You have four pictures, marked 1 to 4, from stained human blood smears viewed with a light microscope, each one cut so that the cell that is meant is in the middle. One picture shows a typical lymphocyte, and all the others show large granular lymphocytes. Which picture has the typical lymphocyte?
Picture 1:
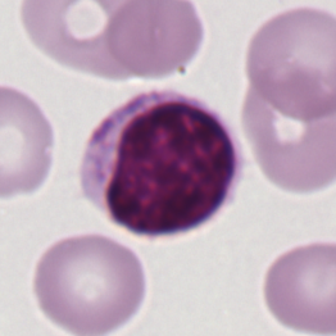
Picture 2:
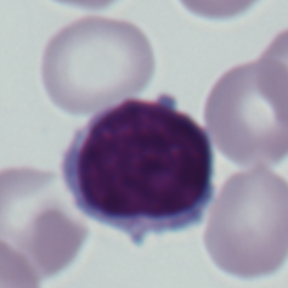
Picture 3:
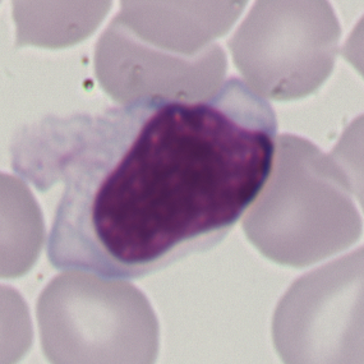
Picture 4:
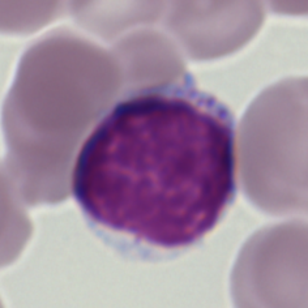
2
